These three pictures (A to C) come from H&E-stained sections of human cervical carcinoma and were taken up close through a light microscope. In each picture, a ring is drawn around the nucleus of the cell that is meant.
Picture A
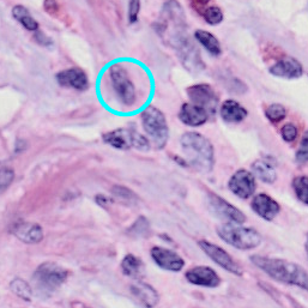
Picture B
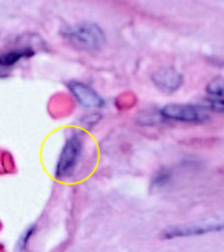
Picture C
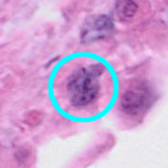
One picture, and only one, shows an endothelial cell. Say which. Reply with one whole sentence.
Picture B is the one that shows the endothelial cell.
